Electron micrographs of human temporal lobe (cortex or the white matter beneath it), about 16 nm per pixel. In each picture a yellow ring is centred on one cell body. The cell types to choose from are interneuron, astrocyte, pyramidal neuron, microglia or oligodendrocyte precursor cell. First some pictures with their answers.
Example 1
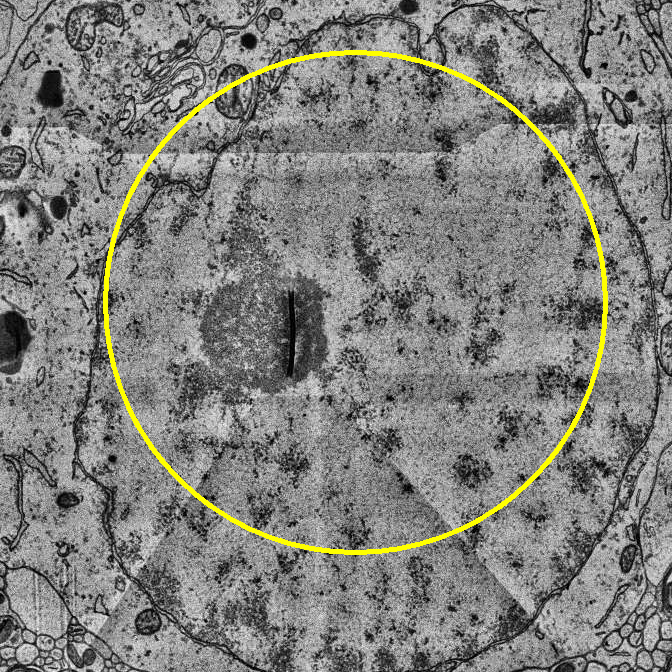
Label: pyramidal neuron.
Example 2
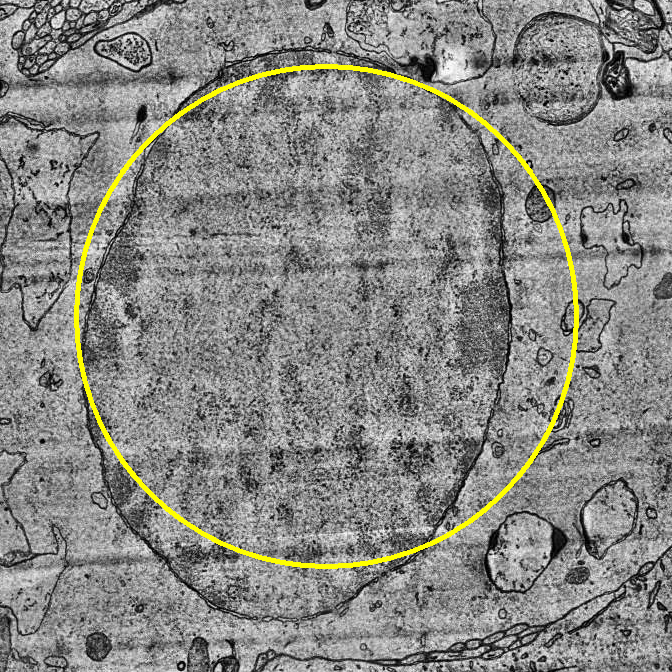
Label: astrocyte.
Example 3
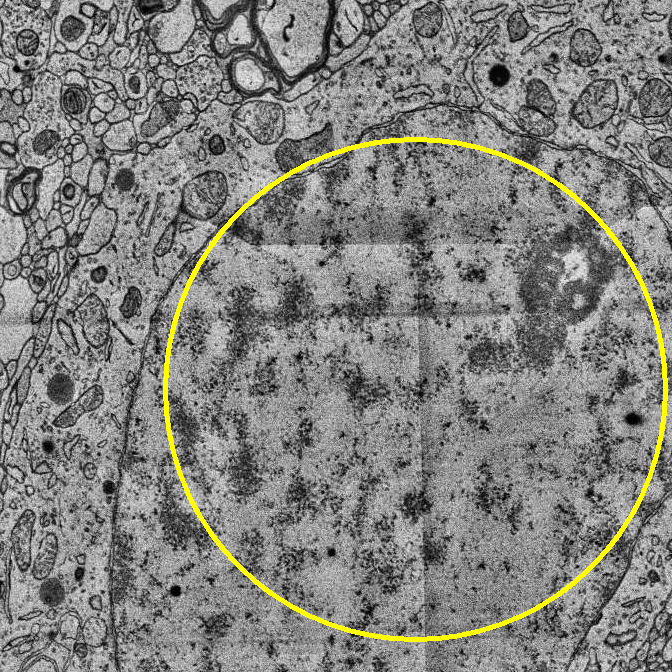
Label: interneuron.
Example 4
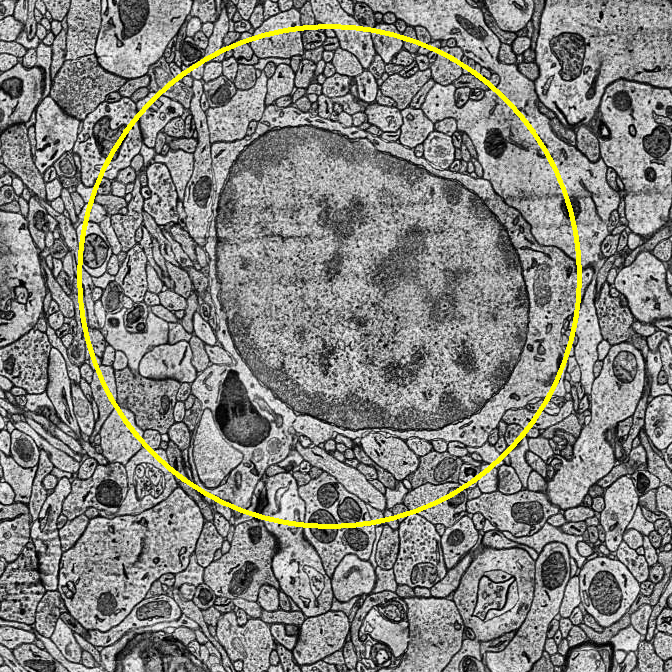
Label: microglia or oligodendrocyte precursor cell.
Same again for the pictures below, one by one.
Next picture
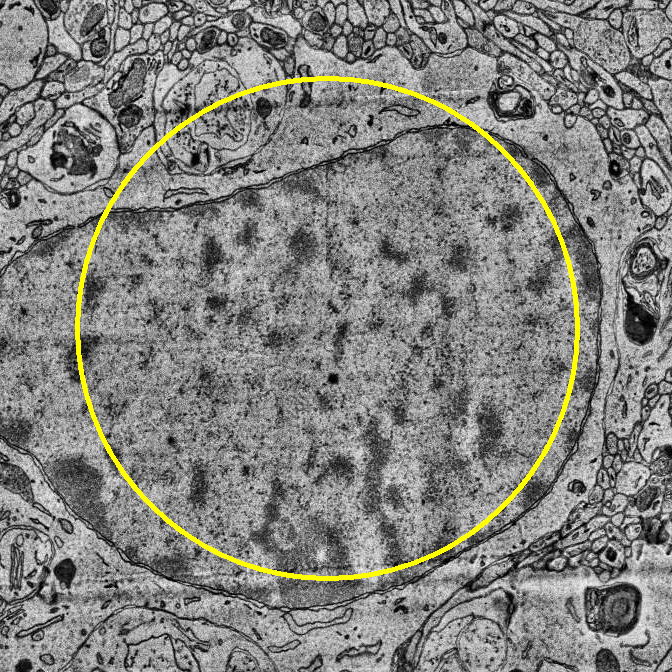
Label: microglia or oligodendrocyte precursor cell.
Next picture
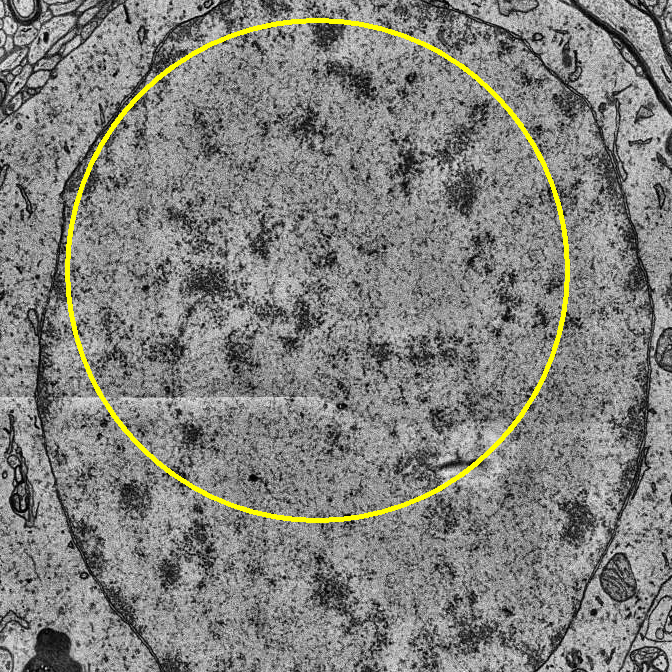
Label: pyramidal neuron.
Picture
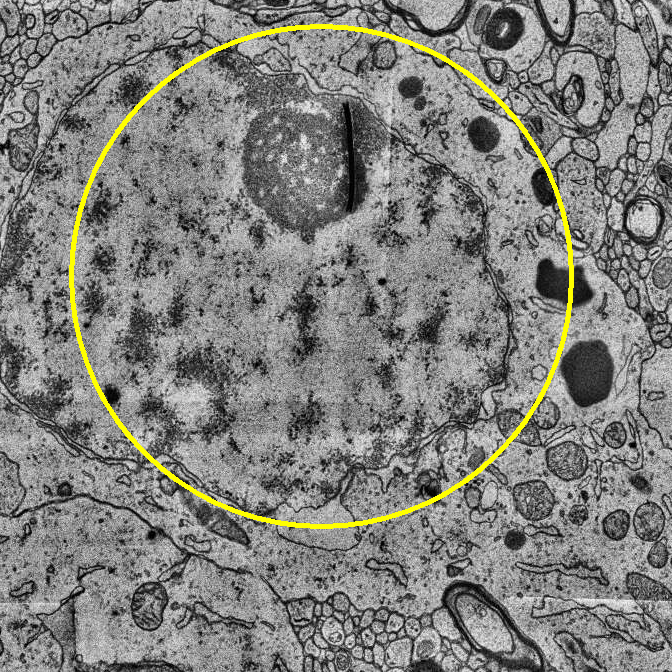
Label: interneuron.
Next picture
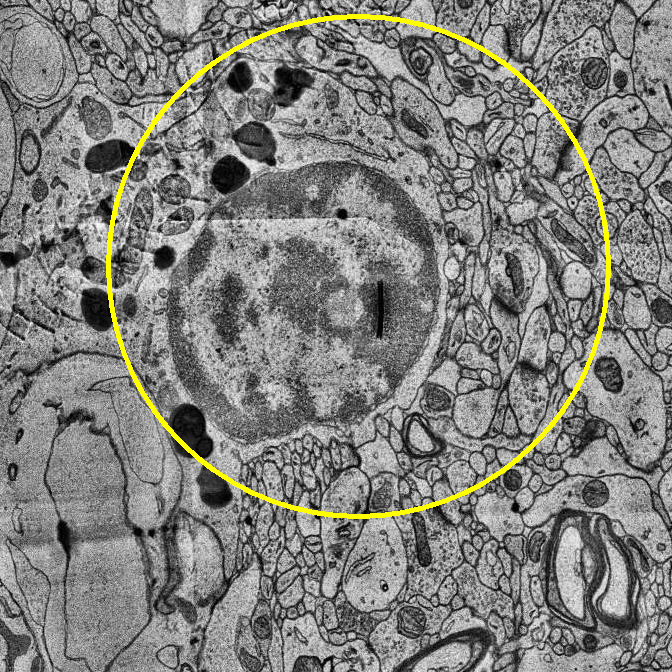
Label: microglia or oligodendrocyte precursor cell.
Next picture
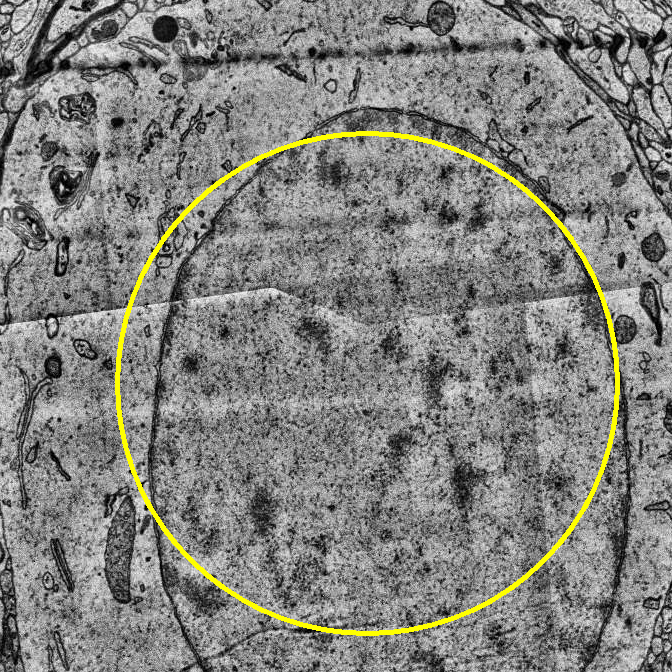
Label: pyramidal neuron.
